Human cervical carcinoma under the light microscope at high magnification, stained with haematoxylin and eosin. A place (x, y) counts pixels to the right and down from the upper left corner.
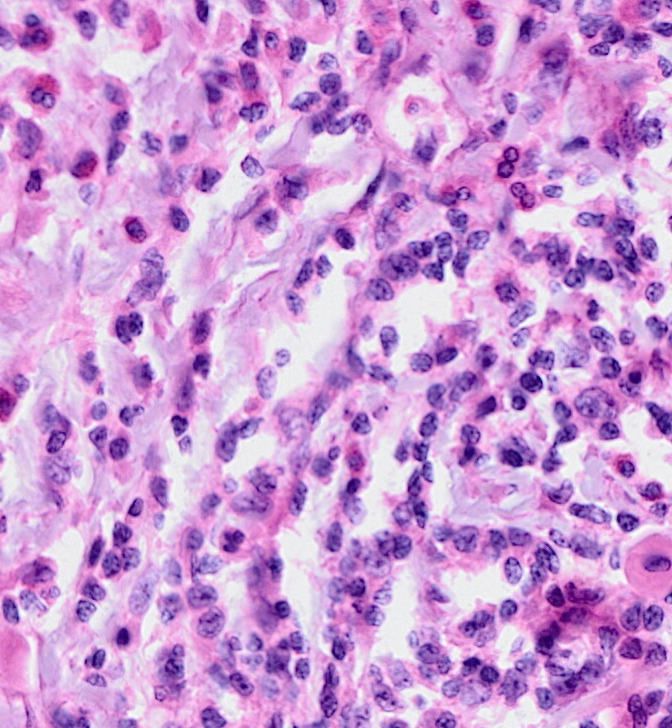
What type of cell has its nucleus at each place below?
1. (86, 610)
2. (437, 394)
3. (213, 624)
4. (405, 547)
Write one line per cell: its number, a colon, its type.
1: lymphocyte
2: lymphocyte
3: macrophage or monocyte
4: lymphocyte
